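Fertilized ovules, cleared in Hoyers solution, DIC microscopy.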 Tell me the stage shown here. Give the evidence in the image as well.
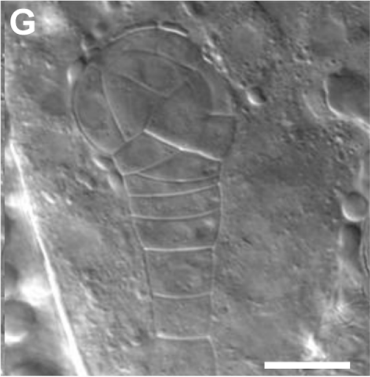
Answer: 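A rounded multicellular embryo proper sits on a suspensor file. An outer layer of cells is cut off around the inner cells. Cell walls in the embryo proper run in irregular directions.
Dermatogen.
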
